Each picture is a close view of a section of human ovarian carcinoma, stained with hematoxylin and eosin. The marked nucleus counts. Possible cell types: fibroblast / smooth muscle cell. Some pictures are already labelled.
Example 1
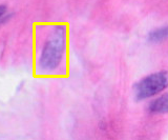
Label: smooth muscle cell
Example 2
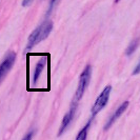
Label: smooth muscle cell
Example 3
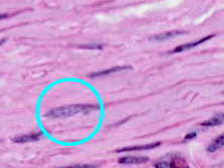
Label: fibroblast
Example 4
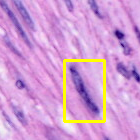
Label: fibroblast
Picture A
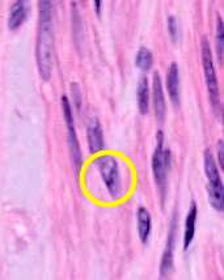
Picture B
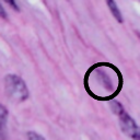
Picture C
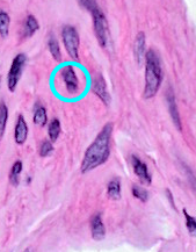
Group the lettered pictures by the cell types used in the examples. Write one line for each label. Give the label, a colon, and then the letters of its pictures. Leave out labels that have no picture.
fibroblast: B
smooth muscle cell: A, C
